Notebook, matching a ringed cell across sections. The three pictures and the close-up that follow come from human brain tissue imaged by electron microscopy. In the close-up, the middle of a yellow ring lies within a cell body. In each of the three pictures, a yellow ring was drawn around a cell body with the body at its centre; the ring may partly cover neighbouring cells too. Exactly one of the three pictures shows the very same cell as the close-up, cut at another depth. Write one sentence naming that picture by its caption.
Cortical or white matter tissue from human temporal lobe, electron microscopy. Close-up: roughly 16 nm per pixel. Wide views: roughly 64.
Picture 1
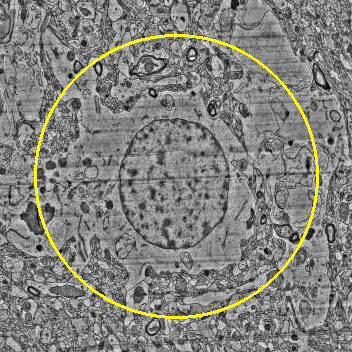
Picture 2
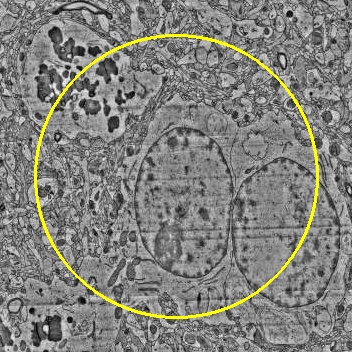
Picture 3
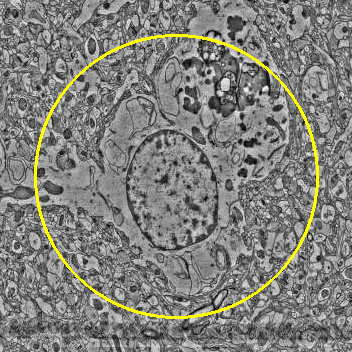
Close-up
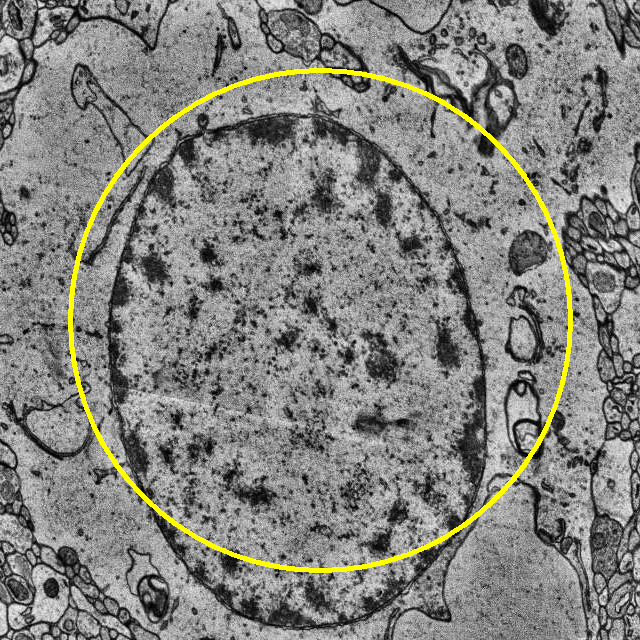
Shown in the close-up is the cell marked with a ring in Picture 3.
